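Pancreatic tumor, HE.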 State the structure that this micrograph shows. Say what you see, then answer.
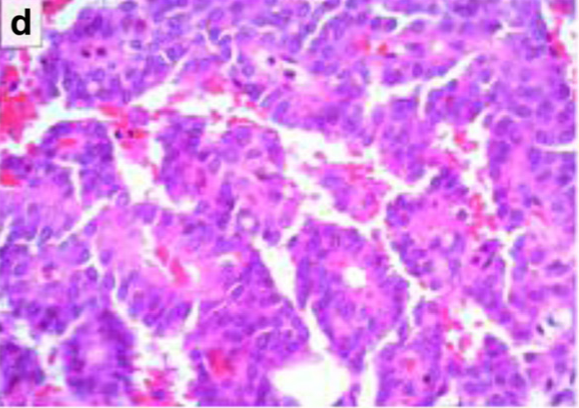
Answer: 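Fibrovascular core. Thin cores with red blood cells run between cell clusters. Tumor cells are arranged around these cores.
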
